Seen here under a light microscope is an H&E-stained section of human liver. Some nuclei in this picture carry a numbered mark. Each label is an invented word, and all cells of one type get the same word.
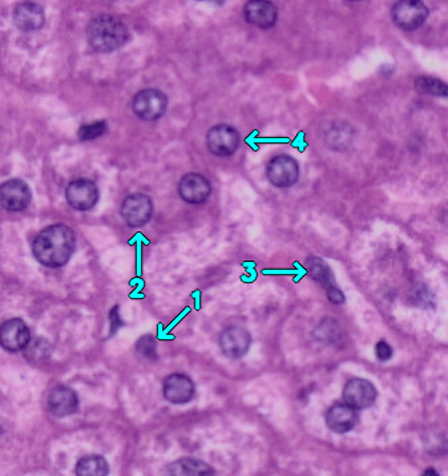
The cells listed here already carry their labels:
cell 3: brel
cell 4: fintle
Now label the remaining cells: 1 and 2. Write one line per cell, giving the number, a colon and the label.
1: brel
2: fintle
